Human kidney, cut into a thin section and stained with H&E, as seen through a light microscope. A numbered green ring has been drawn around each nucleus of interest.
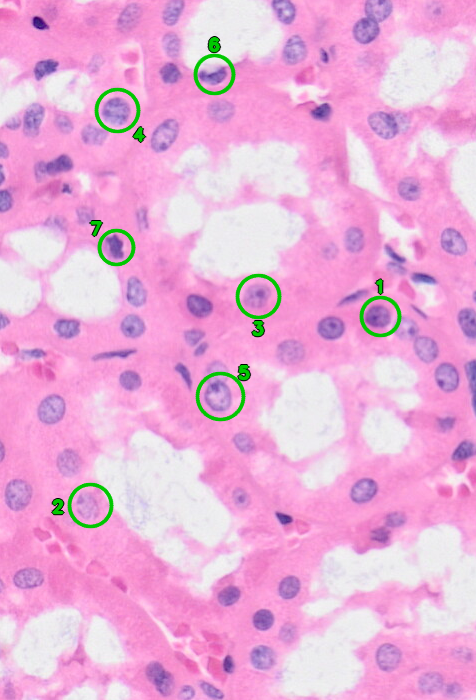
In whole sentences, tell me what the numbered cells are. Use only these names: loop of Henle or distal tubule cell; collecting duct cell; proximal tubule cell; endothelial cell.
Cell 1 is a proximal tubule cell, cell 2 is a proximal tubule cell, cell 3 is a proximal tubule cell, cell 4 is a loop of Henle or distal tubule cell, cell 5 is a proximal tubule cell, cell 6 is a loop of Henle or distal tubule cell and cell 7 is a loop of Henle or distal tubule cell.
